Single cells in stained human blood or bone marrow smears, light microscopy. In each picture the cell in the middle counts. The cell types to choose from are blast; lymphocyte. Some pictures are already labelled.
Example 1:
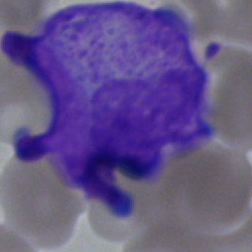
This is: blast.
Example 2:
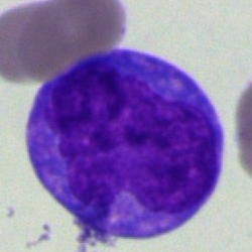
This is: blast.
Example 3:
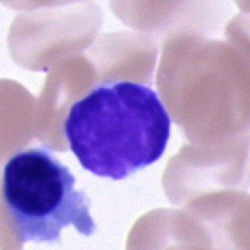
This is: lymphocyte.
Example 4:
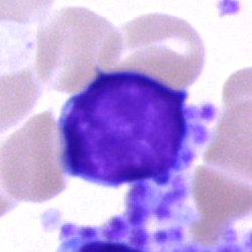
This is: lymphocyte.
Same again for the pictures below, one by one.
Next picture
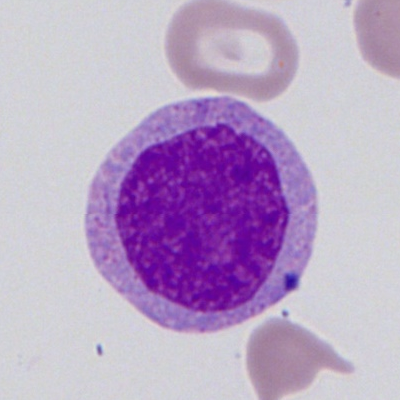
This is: blast.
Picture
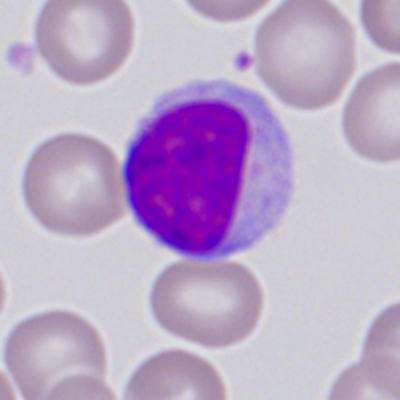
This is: lymphocyte.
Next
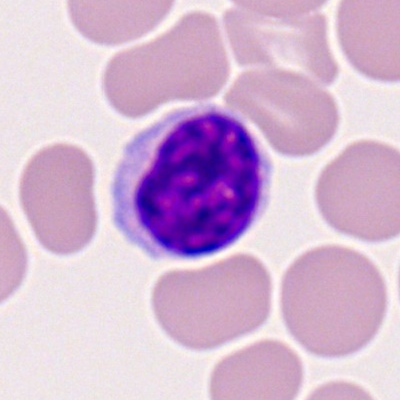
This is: lymphocyte.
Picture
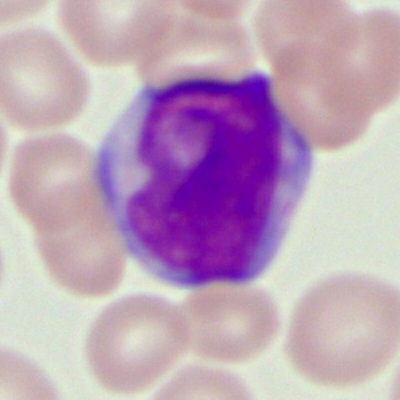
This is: blast.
